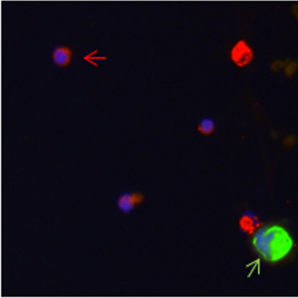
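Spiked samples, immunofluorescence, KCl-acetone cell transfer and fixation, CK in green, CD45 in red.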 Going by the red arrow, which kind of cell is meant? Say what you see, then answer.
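The marked cell is small and round. A blue nucleus is surrounded by a thin red rim. Several similar small red-rimmed cells lie scattered, much smaller than the green cell. On this evidence: lymphocytes.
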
